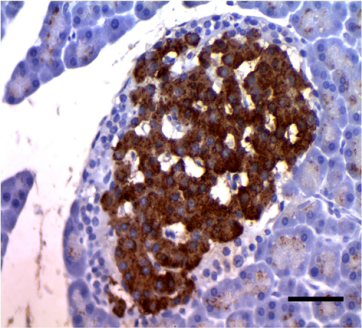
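This is a pancreatic islet sitting within exocrine pancreatic tissue. The islet is a large, compact cluster of cells whose cytoplasm is stained intensely dark brown, with small round nuclei and scattered pale gaps between the cells.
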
